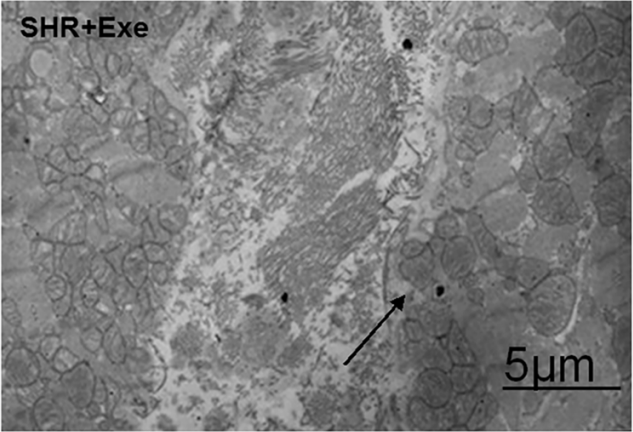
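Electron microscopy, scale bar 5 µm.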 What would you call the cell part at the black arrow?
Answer: Myocardial mitochondria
